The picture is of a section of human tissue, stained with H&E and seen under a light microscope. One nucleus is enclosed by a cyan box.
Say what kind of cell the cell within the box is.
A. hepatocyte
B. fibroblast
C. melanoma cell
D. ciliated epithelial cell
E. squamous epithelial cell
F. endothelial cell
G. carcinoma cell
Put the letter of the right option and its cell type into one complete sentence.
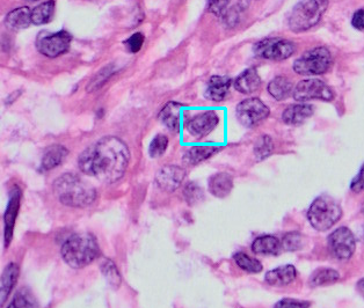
Option C is correct here; the cell within the box is a melanoma cell.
